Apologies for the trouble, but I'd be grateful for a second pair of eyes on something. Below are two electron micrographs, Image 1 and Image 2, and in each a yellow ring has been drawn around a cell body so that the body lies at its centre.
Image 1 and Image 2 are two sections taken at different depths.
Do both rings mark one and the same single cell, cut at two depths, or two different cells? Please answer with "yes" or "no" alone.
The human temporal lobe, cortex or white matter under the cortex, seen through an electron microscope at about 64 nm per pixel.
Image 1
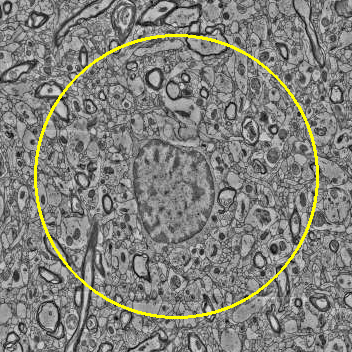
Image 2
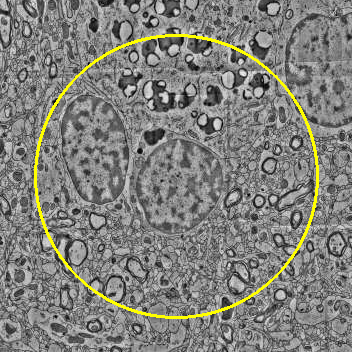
no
